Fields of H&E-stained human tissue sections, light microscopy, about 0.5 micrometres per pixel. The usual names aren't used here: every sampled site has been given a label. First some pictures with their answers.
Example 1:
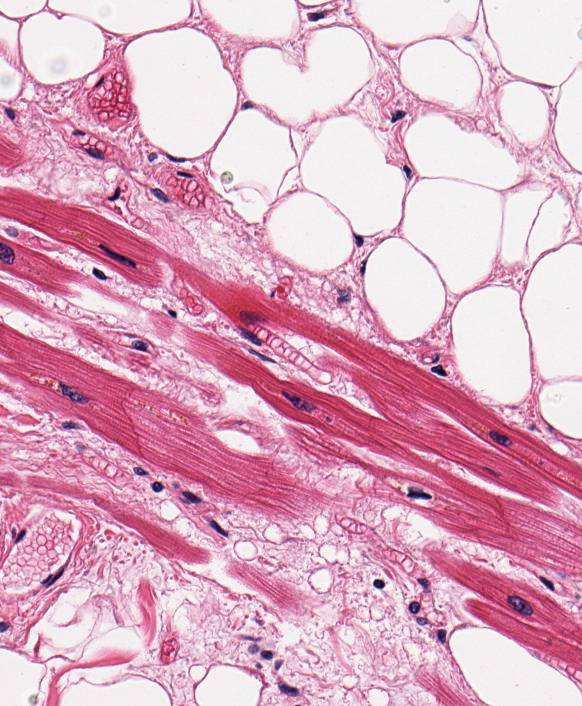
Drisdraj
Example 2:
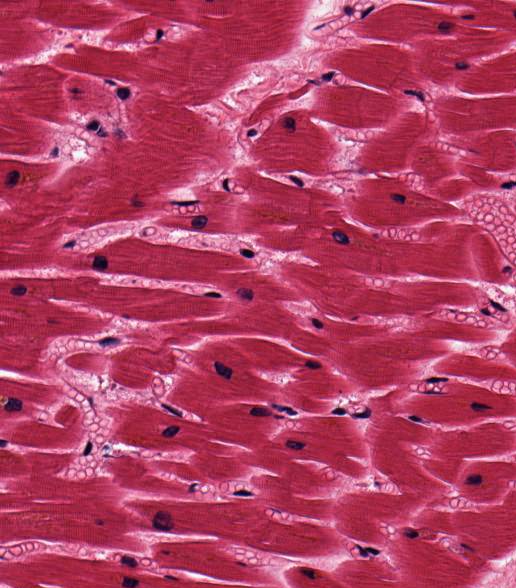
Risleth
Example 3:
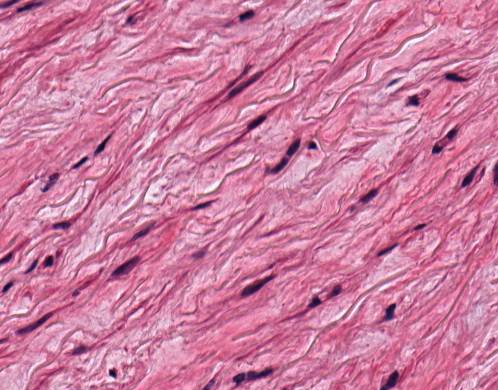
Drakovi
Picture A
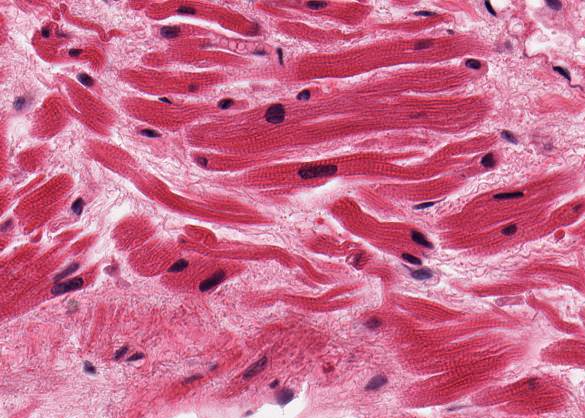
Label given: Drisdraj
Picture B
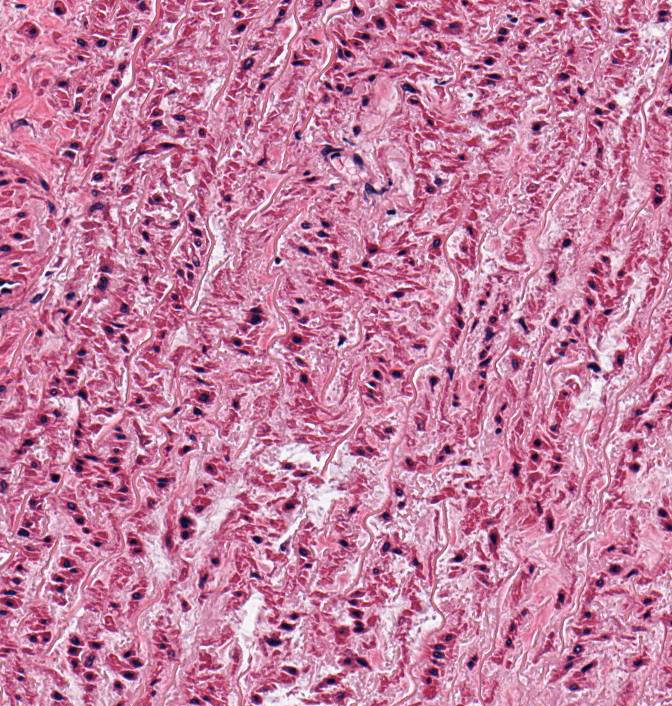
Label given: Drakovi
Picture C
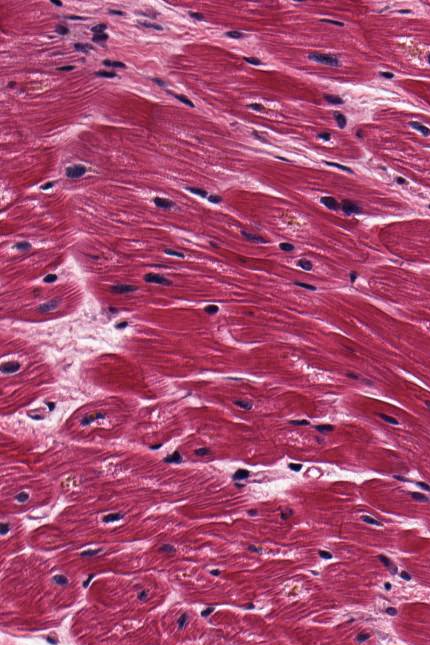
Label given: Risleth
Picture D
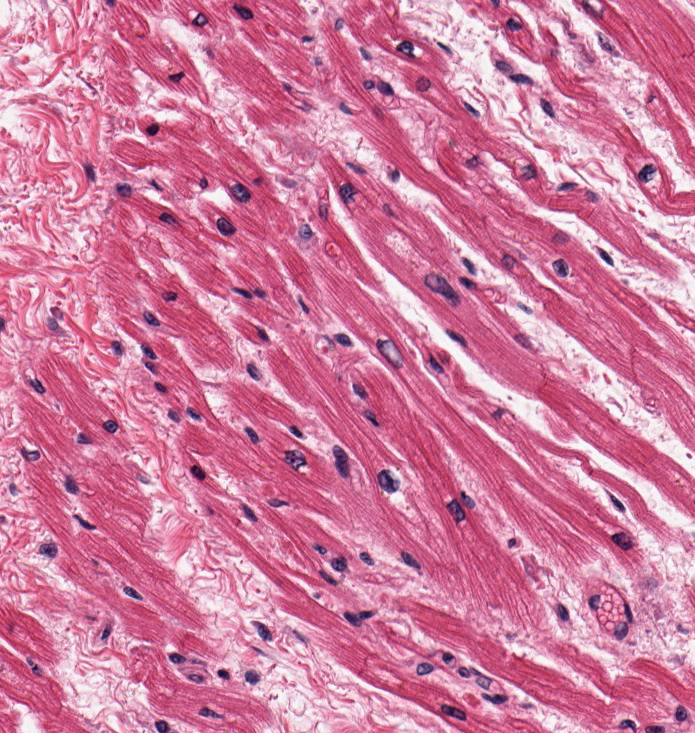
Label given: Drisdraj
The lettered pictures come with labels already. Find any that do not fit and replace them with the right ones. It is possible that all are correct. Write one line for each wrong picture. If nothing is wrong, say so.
No label is wrong.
